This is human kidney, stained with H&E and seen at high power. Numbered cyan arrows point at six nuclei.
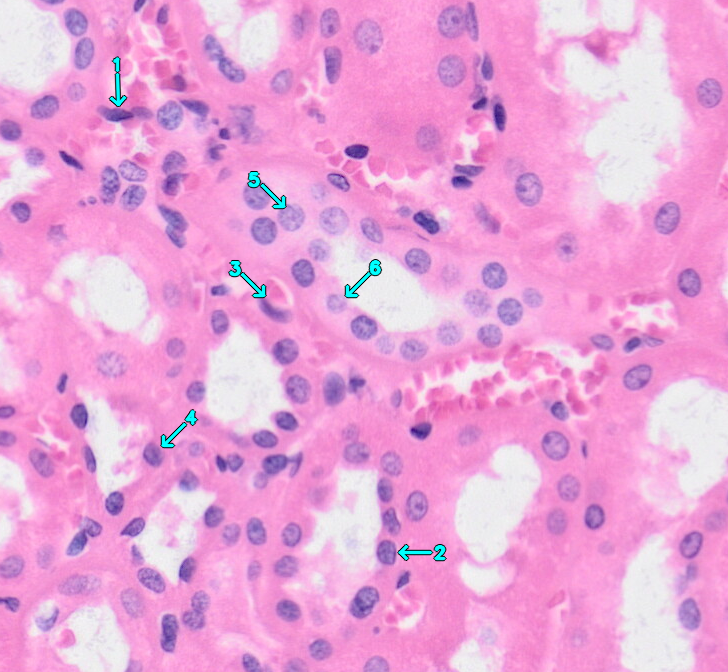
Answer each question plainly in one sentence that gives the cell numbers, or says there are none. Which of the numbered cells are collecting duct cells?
To be specific, the cells numbered 5 and 6 are collecting duct cells.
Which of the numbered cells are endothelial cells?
The cells assigned the numbers 1 and 3 are endothelial cells.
